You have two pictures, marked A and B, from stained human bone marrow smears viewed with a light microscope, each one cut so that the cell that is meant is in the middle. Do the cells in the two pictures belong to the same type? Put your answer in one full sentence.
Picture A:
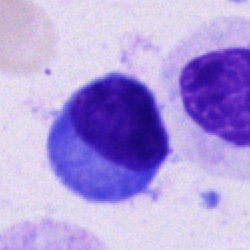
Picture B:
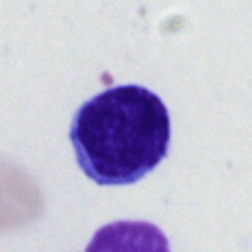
No, they differ: the cell is a plasma cell in picture A and a lymphocyte in picture B.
